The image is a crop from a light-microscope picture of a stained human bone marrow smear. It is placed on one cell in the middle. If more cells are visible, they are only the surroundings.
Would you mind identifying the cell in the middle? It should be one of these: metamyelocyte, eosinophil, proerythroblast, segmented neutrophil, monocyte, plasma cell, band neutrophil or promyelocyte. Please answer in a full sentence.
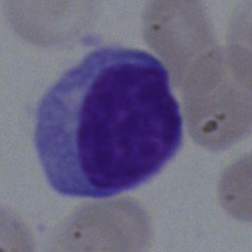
In the middle of this smear crop is a plasma cell.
